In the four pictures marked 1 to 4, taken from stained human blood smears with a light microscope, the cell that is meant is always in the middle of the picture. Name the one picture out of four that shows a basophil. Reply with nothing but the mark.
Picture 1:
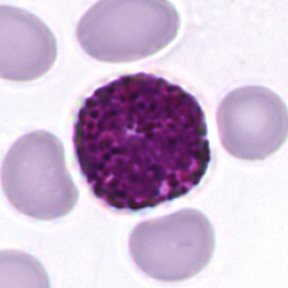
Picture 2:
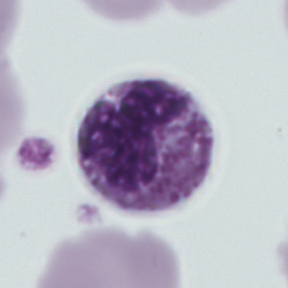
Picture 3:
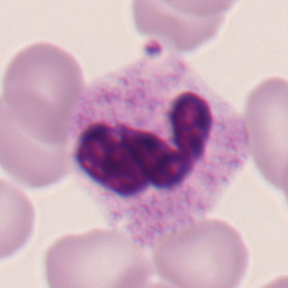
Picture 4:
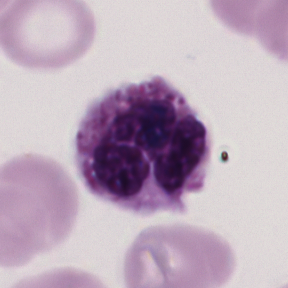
1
